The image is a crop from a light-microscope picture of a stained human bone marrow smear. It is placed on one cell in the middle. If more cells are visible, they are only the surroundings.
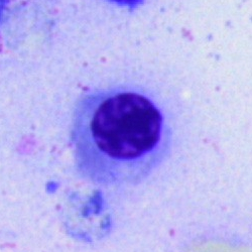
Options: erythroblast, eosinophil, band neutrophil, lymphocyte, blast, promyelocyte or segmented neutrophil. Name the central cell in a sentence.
For this crop, the cell in the middle is an erythroblast.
